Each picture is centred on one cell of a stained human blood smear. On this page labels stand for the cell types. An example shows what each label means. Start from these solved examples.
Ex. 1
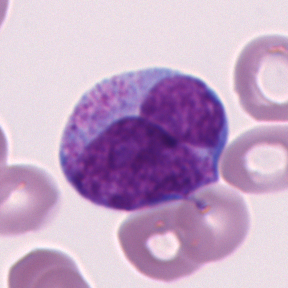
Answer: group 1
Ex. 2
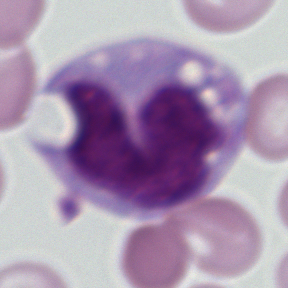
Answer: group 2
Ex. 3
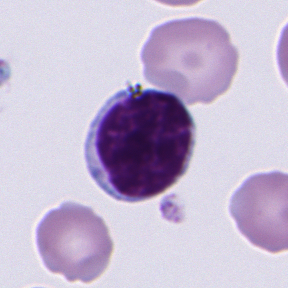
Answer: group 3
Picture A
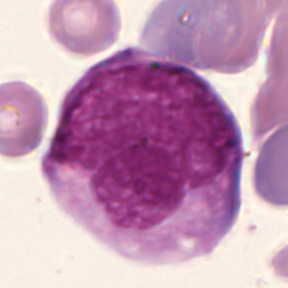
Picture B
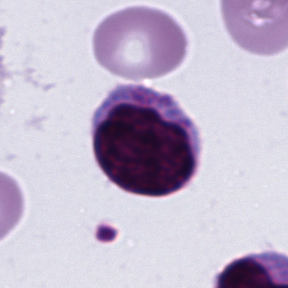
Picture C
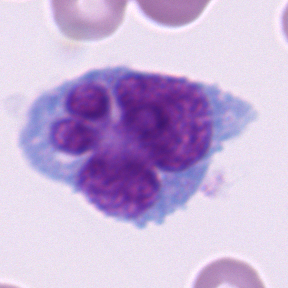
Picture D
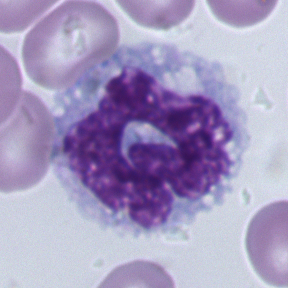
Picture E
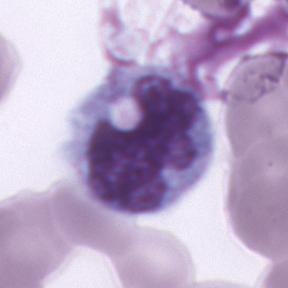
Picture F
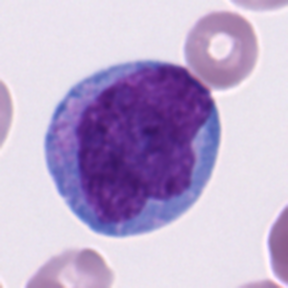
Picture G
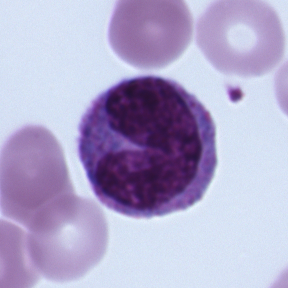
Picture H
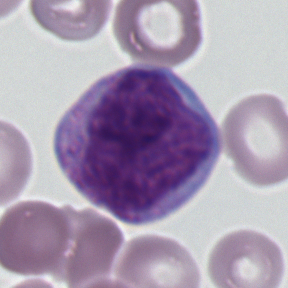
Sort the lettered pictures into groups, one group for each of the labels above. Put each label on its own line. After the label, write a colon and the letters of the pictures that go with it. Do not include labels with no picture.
group 1: A, F, H
group 2: C, D, E, G
group 3: B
